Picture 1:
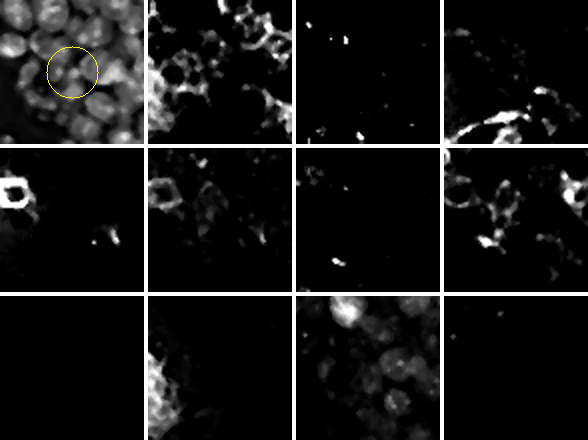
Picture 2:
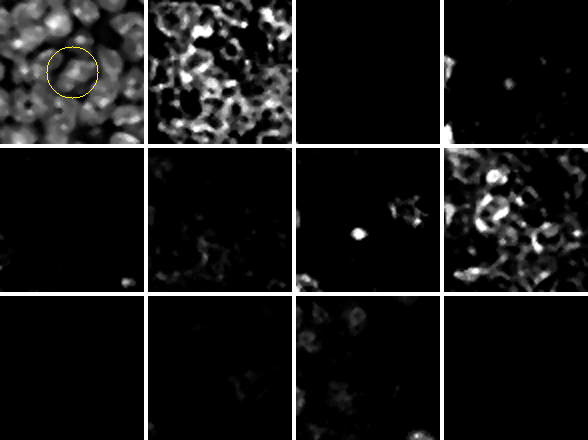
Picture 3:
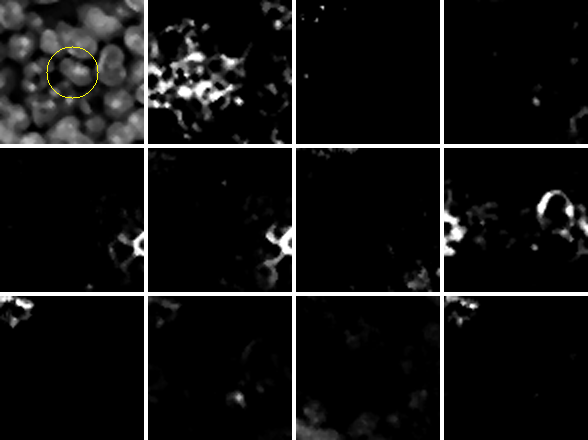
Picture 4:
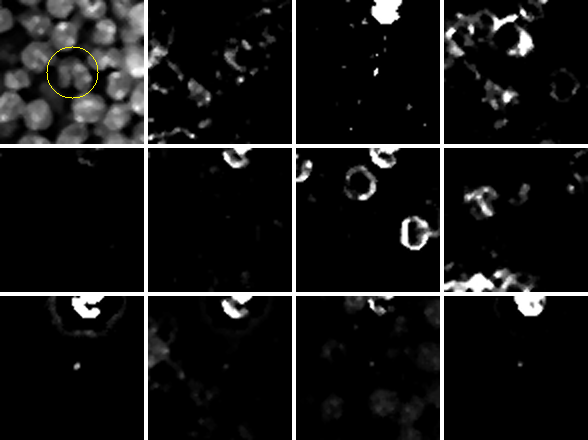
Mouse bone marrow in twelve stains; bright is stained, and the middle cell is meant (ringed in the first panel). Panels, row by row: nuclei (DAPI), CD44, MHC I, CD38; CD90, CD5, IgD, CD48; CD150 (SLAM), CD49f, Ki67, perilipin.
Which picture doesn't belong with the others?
Picture 1.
